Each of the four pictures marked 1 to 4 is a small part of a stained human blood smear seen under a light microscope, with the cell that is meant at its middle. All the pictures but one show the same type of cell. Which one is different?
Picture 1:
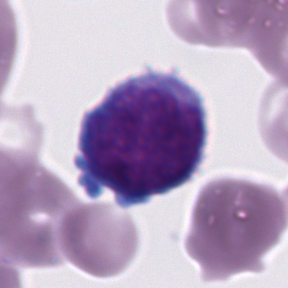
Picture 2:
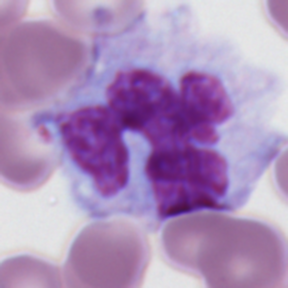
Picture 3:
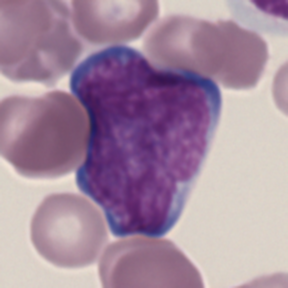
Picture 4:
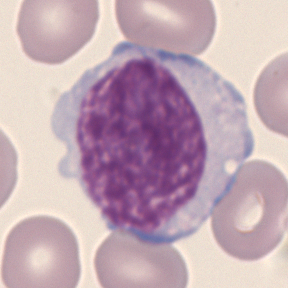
2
